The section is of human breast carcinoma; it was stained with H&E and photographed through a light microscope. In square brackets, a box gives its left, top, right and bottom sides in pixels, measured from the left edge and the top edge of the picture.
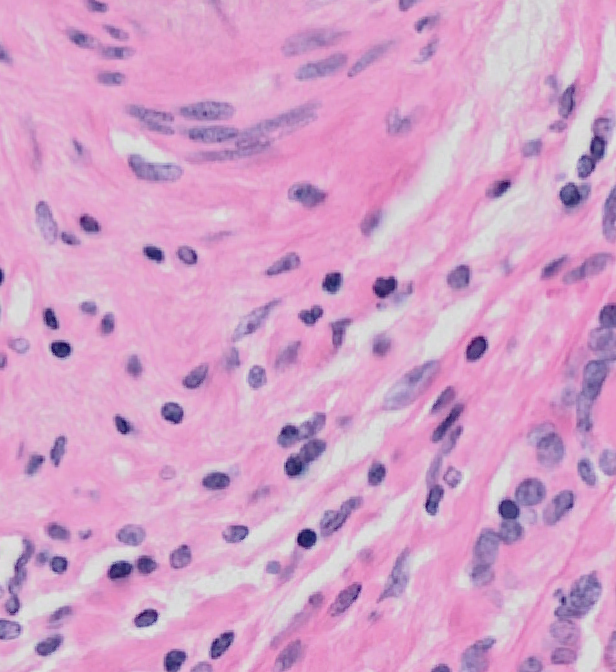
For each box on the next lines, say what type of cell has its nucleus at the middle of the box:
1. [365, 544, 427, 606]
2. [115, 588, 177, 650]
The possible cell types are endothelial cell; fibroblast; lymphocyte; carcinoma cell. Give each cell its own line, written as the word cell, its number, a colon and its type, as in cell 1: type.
cell 1: fibroblast
cell 2: lymphocyte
